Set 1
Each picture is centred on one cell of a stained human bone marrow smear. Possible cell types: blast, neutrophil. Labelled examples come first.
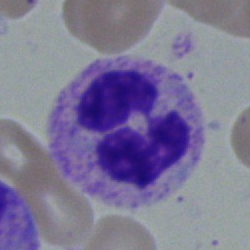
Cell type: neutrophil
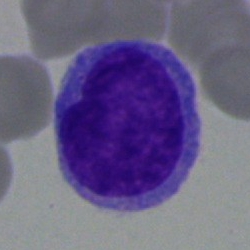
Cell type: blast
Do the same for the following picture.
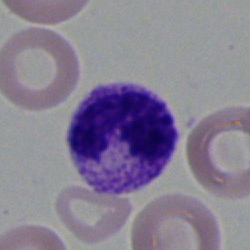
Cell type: neutrophil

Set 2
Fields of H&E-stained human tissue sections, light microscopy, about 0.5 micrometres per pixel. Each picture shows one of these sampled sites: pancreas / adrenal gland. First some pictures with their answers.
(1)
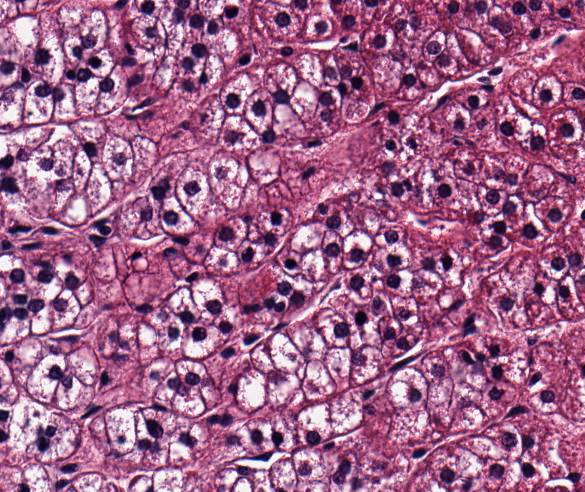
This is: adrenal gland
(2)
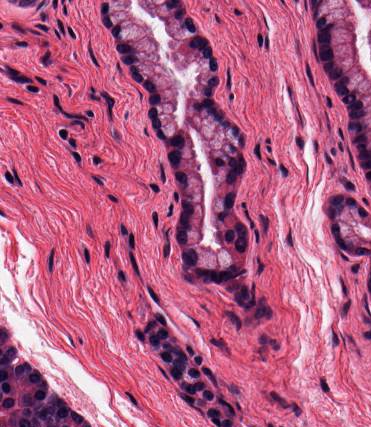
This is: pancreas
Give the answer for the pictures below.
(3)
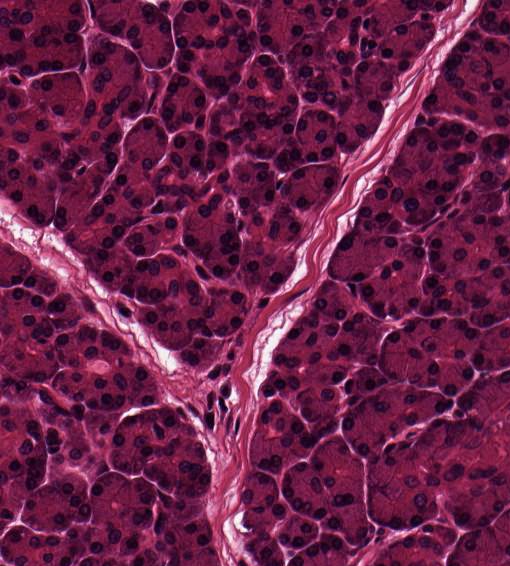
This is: pancreas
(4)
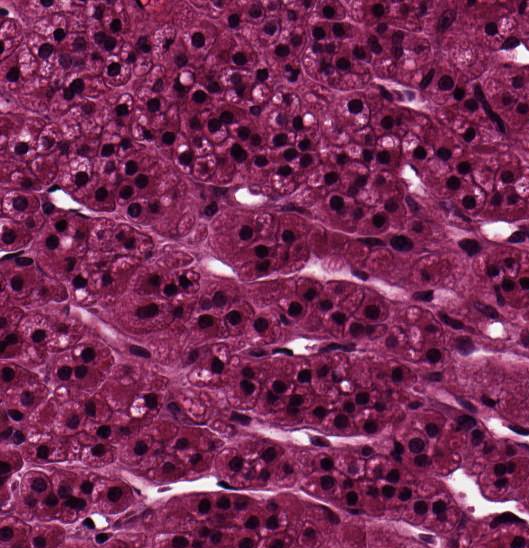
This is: adrenal gland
